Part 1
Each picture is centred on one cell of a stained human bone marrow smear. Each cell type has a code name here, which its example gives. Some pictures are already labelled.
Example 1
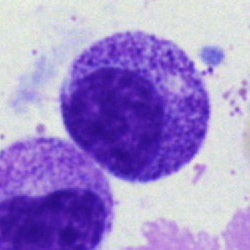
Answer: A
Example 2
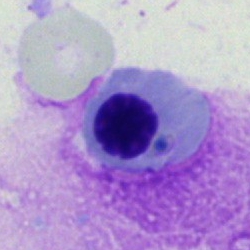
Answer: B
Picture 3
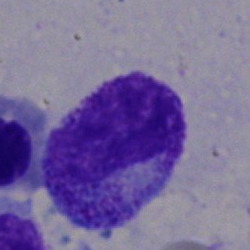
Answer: A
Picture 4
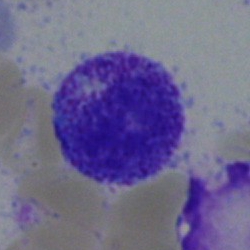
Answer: A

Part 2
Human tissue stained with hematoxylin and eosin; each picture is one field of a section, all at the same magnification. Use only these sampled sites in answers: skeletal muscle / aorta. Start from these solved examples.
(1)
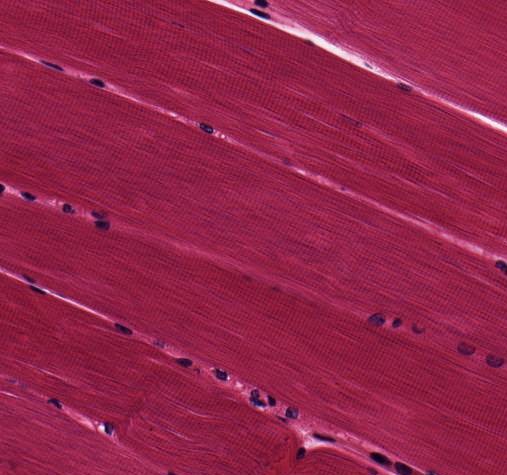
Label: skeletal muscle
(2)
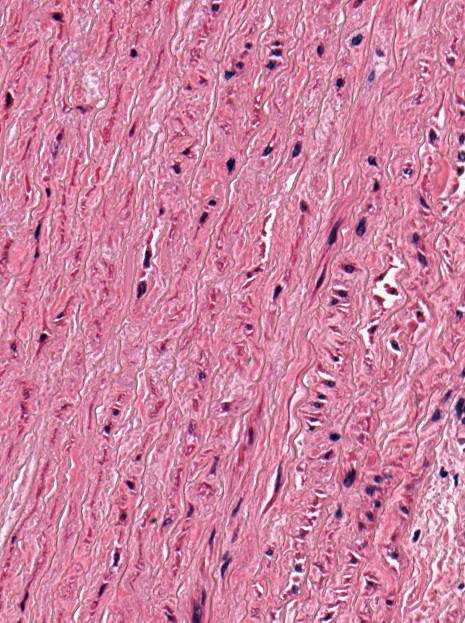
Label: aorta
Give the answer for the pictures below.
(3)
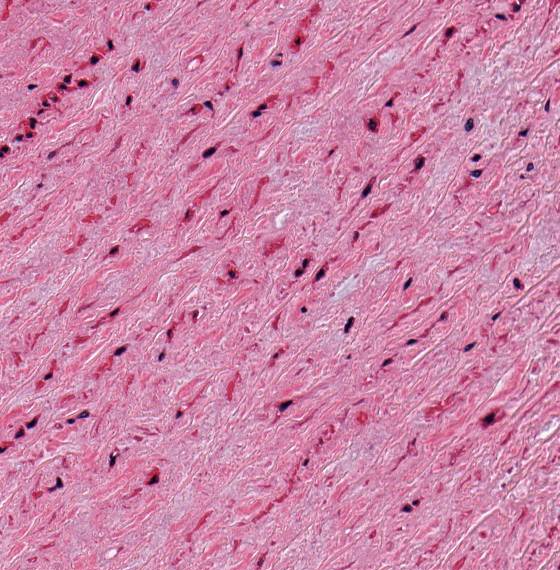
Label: aorta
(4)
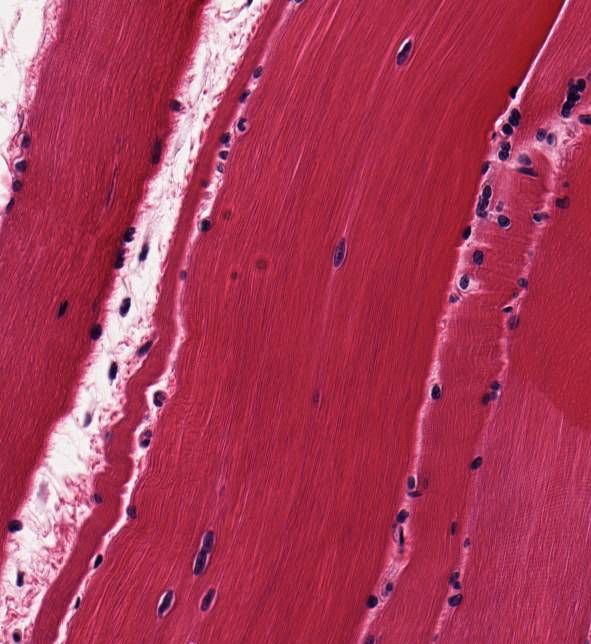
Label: skeletal muscle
